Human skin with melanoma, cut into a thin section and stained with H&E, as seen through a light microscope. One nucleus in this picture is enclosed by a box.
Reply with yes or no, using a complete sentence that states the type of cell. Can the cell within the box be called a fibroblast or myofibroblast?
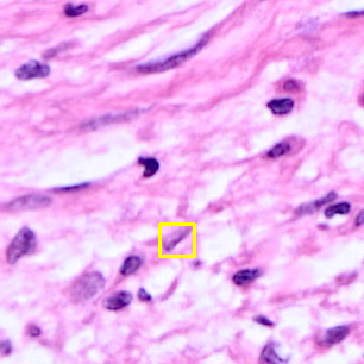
Yes, the cell within the box is one that is classed as a fibroblast or myofibroblast.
